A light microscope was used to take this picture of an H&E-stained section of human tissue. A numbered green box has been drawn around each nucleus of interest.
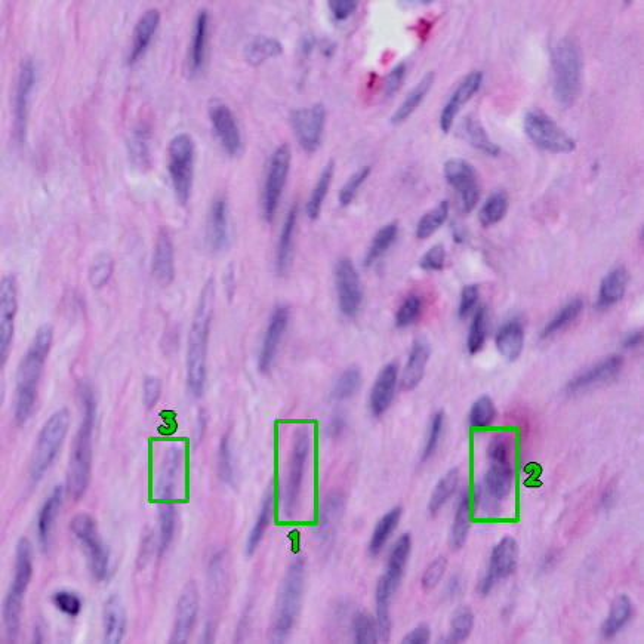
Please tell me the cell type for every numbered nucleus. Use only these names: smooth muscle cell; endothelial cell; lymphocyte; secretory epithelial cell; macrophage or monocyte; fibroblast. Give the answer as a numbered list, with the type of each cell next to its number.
1. smooth muscle cell
2. fibroblast
3. smooth muscle cell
